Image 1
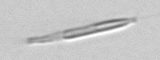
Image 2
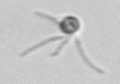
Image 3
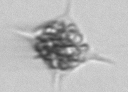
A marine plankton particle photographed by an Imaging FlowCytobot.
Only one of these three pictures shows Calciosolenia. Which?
Picture 1.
